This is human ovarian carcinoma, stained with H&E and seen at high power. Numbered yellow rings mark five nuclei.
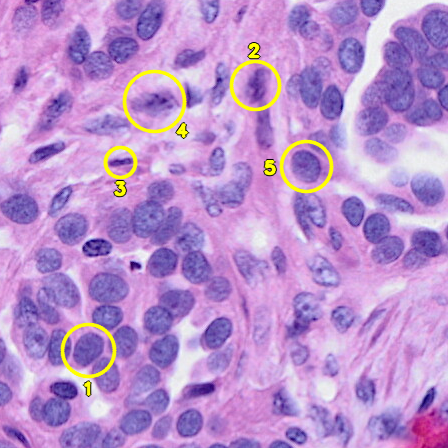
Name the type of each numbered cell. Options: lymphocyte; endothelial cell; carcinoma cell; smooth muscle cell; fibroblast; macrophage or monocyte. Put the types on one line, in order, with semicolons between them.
carcinoma cell; fibroblast; fibroblast; fibroblast; carcinoma cell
